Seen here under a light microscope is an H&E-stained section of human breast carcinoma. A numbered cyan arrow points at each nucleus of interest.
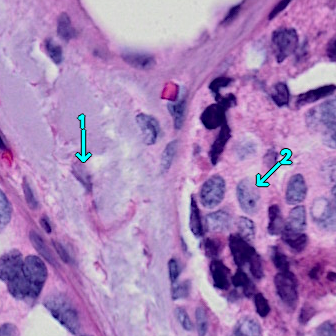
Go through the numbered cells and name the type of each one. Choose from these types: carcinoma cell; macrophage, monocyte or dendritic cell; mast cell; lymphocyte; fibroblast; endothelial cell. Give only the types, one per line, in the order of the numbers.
fibroblast
carcinoma cell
